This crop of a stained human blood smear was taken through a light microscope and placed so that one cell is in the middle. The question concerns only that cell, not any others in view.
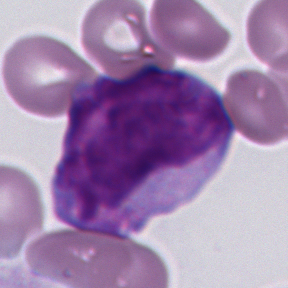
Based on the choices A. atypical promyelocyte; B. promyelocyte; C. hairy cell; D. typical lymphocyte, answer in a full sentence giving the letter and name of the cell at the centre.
The correct option, A, names the middle cell as an atypical promyelocyte.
